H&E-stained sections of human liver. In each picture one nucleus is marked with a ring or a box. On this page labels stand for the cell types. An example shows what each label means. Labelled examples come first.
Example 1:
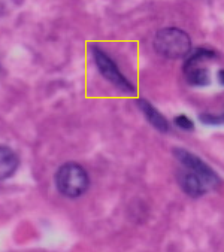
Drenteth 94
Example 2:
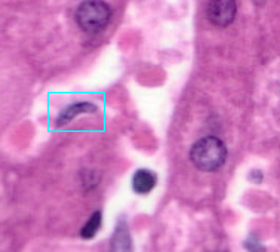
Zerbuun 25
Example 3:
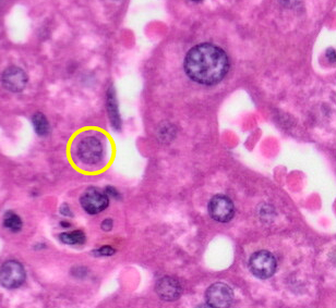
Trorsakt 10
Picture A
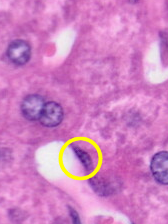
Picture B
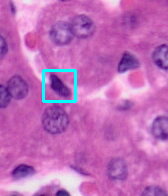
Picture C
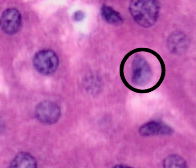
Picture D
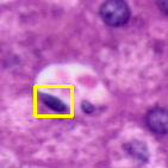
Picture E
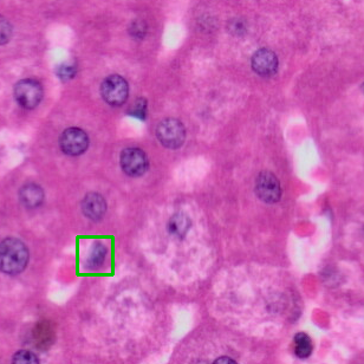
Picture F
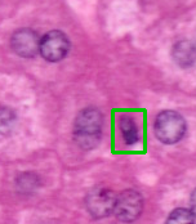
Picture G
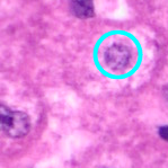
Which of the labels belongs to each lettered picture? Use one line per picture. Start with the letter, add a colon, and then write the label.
A: Drenteth 94
B: Drenteth 94
C: Zerbuun 25
D: Zerbuun 25
E: Zerbuun 25
F: Drenteth 94
G: Trorsakt 10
